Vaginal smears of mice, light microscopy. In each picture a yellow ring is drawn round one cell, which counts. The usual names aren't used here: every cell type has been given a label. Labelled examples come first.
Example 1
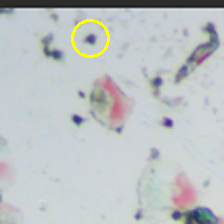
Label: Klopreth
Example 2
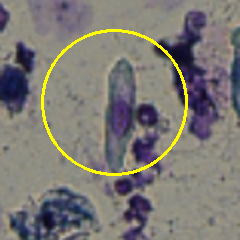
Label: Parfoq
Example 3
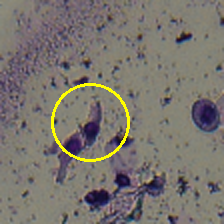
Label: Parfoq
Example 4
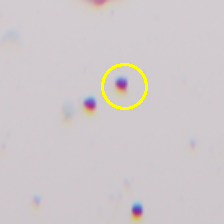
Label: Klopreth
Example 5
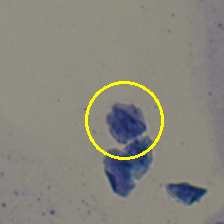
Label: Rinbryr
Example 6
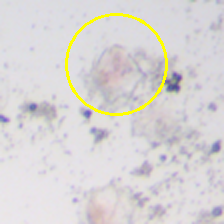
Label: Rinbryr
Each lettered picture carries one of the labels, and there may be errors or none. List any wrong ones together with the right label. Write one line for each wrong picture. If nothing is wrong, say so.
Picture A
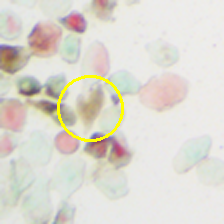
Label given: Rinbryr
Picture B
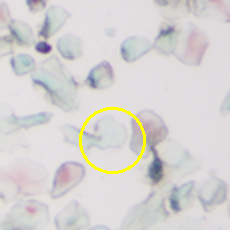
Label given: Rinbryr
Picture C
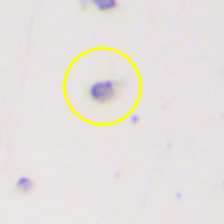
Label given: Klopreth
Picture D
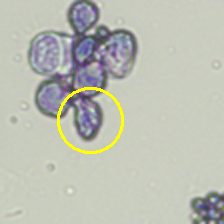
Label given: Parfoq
Every label is right.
